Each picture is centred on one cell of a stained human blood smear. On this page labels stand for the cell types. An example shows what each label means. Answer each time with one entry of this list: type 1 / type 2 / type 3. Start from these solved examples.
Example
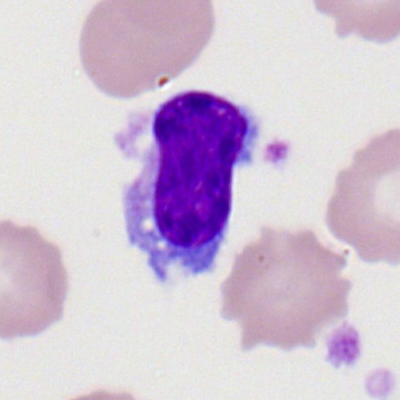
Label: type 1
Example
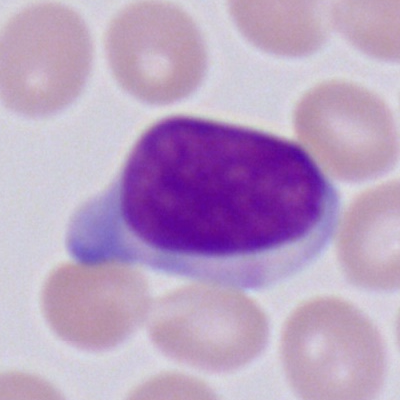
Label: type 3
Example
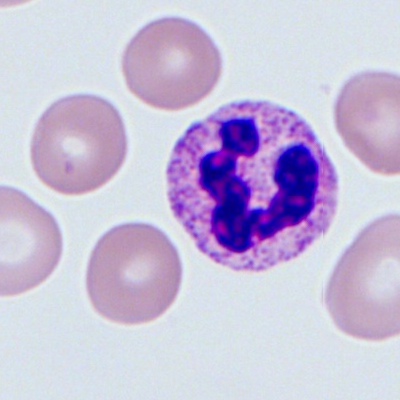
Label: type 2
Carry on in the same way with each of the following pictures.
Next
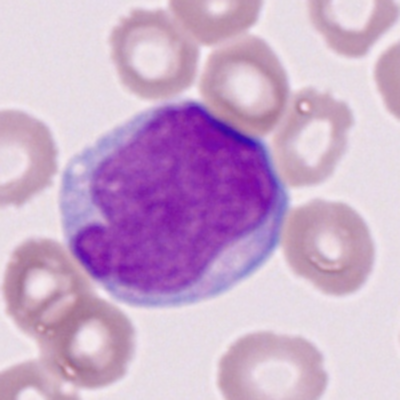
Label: type 3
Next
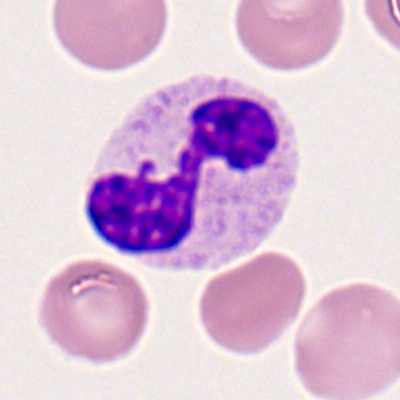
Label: type 2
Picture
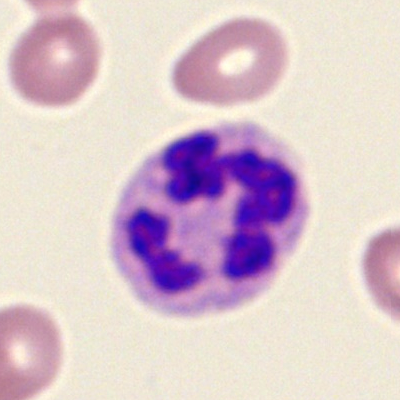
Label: type 2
